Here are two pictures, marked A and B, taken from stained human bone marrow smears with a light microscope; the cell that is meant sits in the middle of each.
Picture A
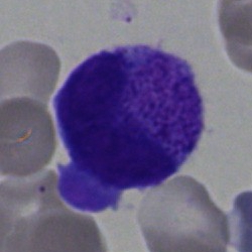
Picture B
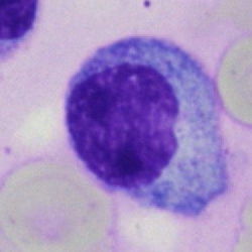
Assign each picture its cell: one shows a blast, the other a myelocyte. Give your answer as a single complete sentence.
Picture A shows a blast and picture B shows a myelocyte.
